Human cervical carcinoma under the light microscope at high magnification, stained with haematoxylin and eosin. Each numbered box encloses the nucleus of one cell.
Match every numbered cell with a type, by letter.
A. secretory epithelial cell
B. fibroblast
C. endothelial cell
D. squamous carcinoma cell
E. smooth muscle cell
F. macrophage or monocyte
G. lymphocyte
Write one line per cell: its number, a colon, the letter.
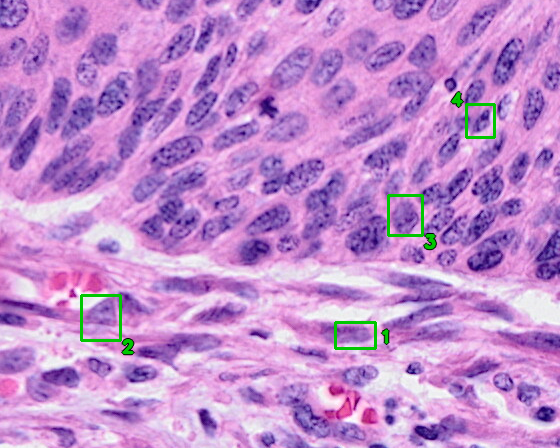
1: B
2: C
3: D
4: D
